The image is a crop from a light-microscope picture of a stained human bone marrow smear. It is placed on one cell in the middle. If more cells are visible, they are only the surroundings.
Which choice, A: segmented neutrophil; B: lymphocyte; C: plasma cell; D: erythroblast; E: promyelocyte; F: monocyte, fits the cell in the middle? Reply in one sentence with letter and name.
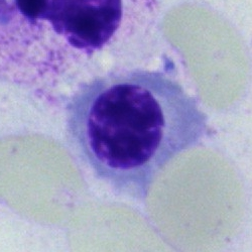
Since the middle cell is an erythroblast, option D is the right one.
